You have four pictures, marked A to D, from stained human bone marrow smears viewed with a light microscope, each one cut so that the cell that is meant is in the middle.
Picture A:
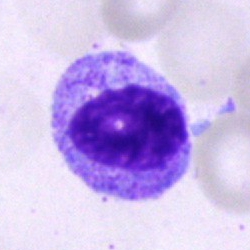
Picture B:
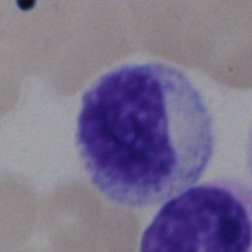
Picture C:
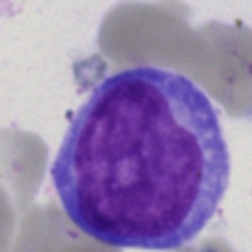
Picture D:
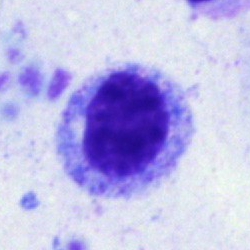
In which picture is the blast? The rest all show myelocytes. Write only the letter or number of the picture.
C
